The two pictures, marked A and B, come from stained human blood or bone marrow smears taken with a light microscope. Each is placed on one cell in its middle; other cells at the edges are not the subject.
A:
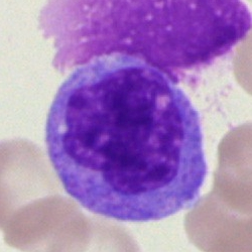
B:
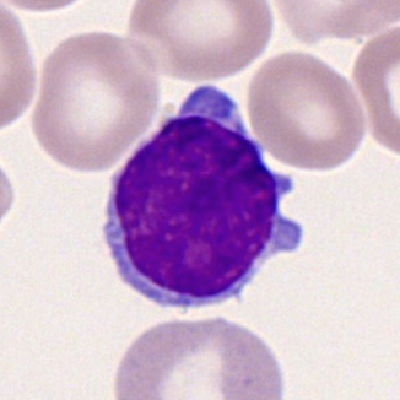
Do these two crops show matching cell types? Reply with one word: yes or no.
no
